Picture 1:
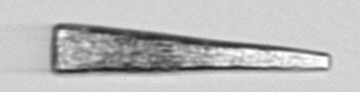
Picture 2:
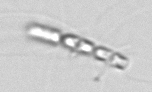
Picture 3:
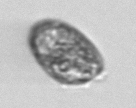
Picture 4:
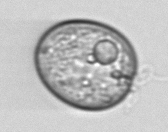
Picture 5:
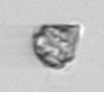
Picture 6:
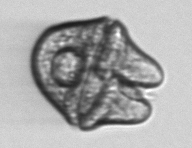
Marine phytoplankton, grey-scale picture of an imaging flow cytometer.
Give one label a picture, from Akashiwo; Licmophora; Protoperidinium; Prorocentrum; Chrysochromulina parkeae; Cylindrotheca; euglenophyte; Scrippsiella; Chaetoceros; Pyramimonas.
Picture 1: Licmophora
Picture 2: Chaetoceros
Picture 3: Prorocentrum
Picture 4: Prorocentrum
Picture 5: Scrippsiella
Picture 6: Akashiwo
